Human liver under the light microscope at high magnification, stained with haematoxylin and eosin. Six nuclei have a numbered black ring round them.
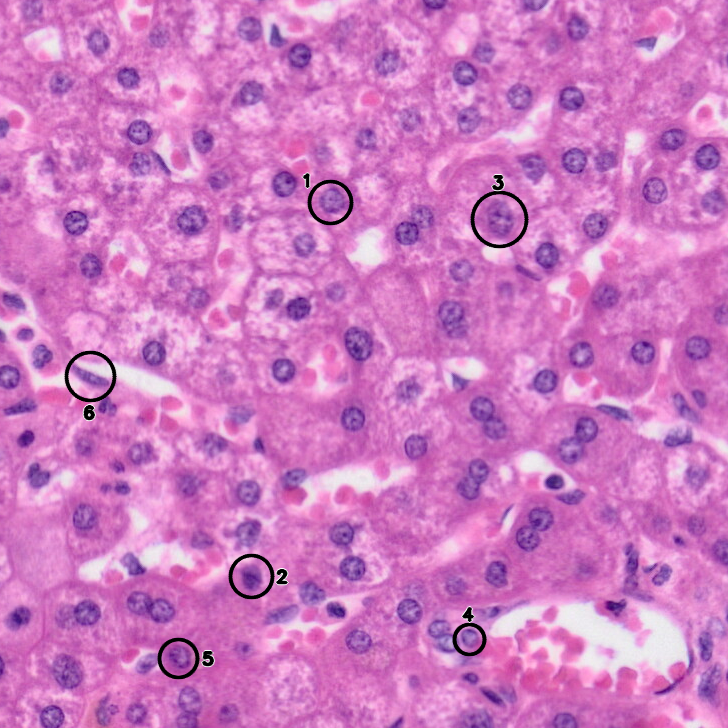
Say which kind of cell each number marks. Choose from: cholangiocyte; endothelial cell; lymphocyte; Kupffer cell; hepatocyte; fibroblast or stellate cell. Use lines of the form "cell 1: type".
cell 1: hepatocyte
cell 2: fibroblast or stellate cell
cell 3: hepatocyte
cell 4: cholangiocyte
cell 5: hepatocyte
cell 6: Kupffer cell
